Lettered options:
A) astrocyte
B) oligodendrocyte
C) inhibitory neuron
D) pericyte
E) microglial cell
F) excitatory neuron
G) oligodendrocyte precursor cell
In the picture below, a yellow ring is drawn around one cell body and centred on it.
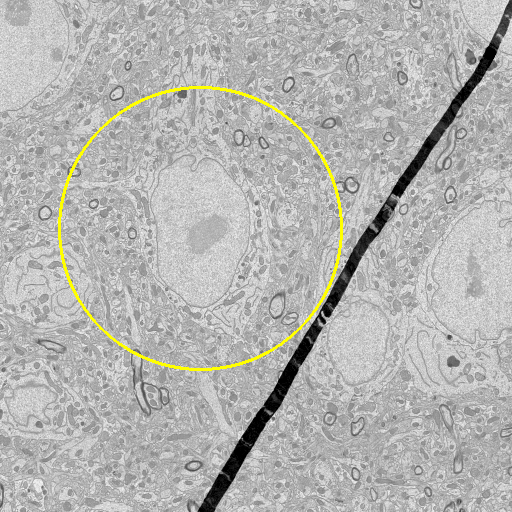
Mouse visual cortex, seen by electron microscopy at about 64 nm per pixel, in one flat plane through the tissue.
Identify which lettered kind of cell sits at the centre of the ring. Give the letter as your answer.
C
